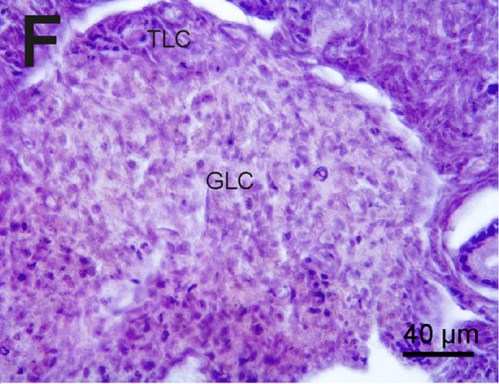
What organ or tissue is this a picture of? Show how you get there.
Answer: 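A large solid mass of closely packed cells. No oocyte or cavity is present.
Answer: corpus luteum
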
